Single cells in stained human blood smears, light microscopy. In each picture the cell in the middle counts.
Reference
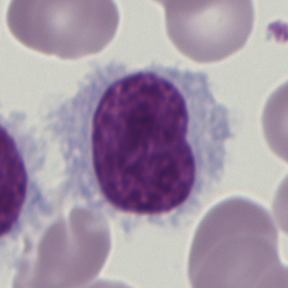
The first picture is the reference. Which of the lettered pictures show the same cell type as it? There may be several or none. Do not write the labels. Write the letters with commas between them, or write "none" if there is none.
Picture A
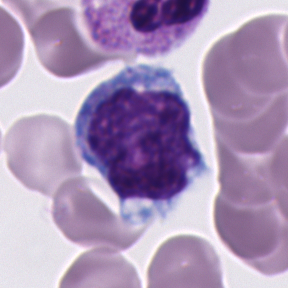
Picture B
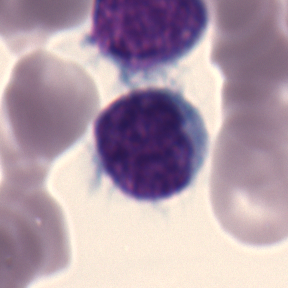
B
